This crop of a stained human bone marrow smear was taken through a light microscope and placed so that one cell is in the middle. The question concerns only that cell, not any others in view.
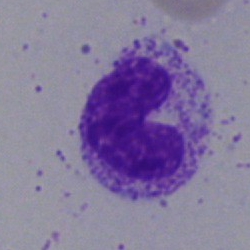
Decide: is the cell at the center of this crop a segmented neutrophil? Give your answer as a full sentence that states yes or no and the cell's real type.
No, the cell placed at the center is a band neutrophil rather than a segmented neutrophil.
